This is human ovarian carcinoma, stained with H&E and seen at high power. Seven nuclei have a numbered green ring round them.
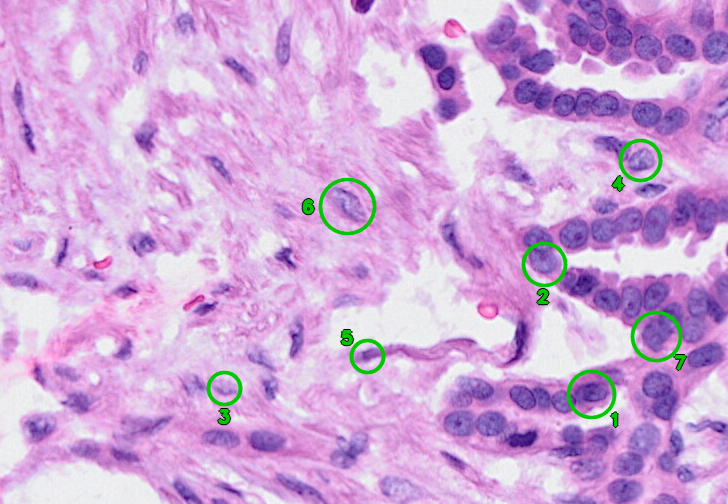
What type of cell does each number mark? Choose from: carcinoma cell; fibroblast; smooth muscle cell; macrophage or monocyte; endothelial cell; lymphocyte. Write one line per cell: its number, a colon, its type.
1: carcinoma cell
2: carcinoma cell
3: fibroblast
4: fibroblast
5: fibroblast
6: fibroblast
7: carcinoma cell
